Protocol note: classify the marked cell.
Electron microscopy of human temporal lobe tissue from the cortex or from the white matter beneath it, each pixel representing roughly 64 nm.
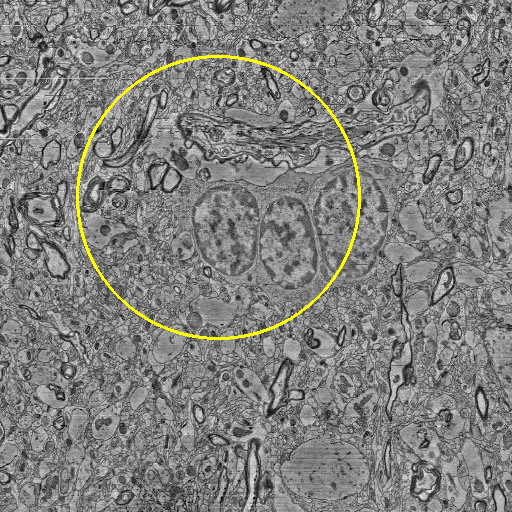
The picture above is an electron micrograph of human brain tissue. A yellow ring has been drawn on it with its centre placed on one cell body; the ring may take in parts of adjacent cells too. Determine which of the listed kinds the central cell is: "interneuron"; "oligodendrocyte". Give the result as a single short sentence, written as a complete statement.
The central cell is an oligodendrocyte.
